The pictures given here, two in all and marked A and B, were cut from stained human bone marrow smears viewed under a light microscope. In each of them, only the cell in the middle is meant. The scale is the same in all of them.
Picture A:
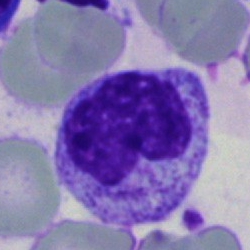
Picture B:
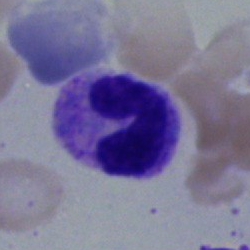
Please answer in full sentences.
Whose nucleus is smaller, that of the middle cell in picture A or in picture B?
Smaller is the nucleus in picture B, and the other is about 2 times as large in area.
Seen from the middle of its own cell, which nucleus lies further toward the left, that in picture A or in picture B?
Seen within its cell, the nucleus in picture A lies further toward the left.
